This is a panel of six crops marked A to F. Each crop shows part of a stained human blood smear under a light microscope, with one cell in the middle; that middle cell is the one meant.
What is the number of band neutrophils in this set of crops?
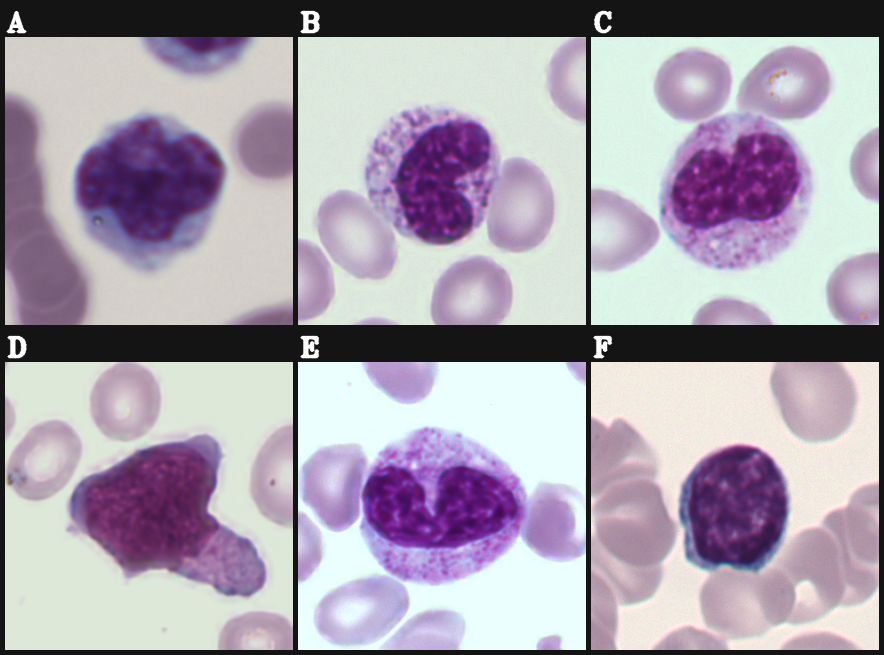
3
